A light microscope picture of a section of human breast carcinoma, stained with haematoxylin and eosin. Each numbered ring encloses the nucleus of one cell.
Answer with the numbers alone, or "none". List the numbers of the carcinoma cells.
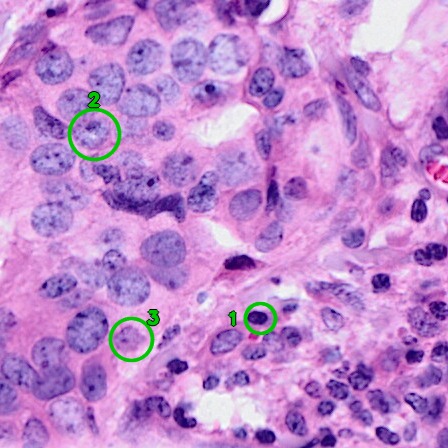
2, 3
